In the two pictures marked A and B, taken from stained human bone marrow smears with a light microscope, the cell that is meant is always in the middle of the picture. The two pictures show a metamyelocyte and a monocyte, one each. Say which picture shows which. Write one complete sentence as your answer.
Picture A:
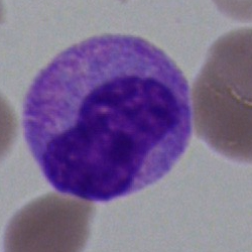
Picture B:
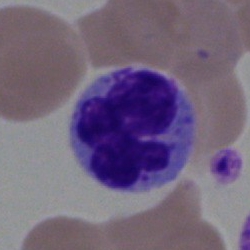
Picture A shows a metamyelocyte and picture B shows a monocyte.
